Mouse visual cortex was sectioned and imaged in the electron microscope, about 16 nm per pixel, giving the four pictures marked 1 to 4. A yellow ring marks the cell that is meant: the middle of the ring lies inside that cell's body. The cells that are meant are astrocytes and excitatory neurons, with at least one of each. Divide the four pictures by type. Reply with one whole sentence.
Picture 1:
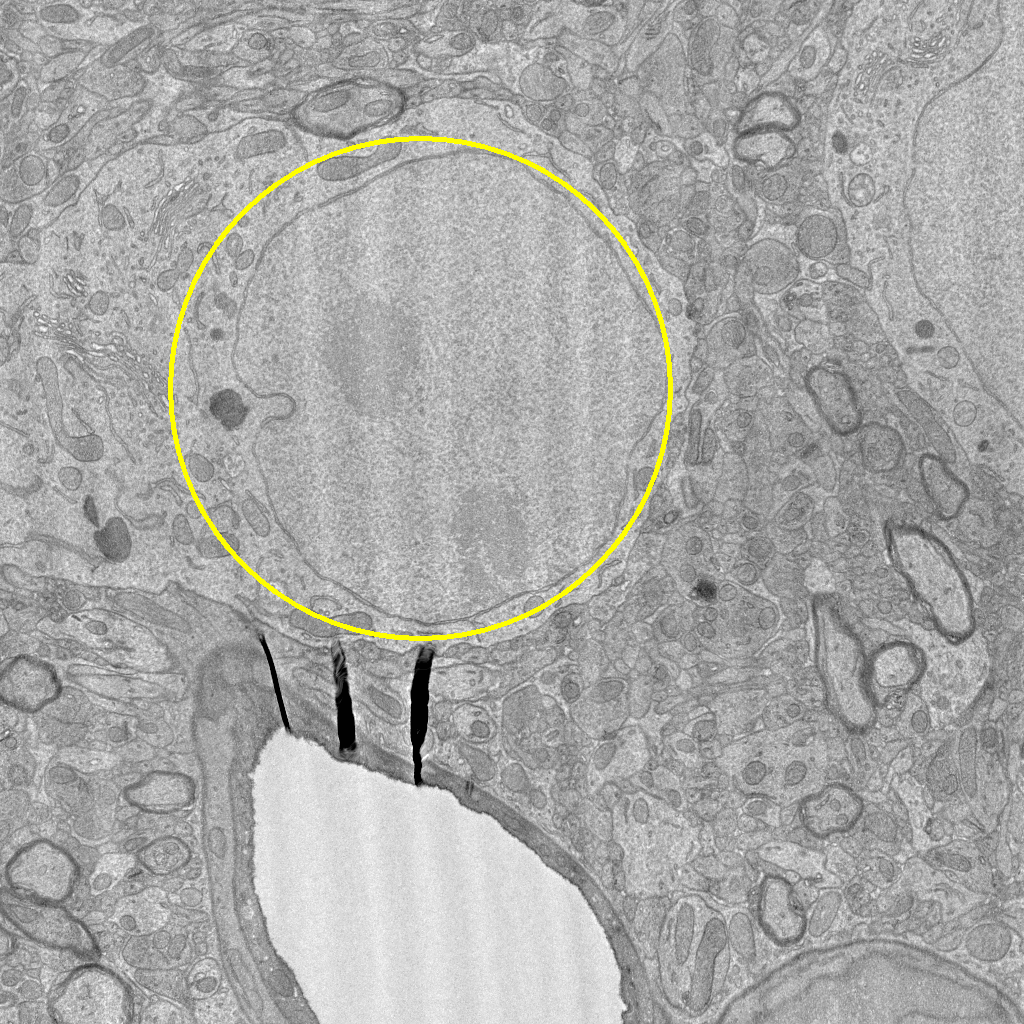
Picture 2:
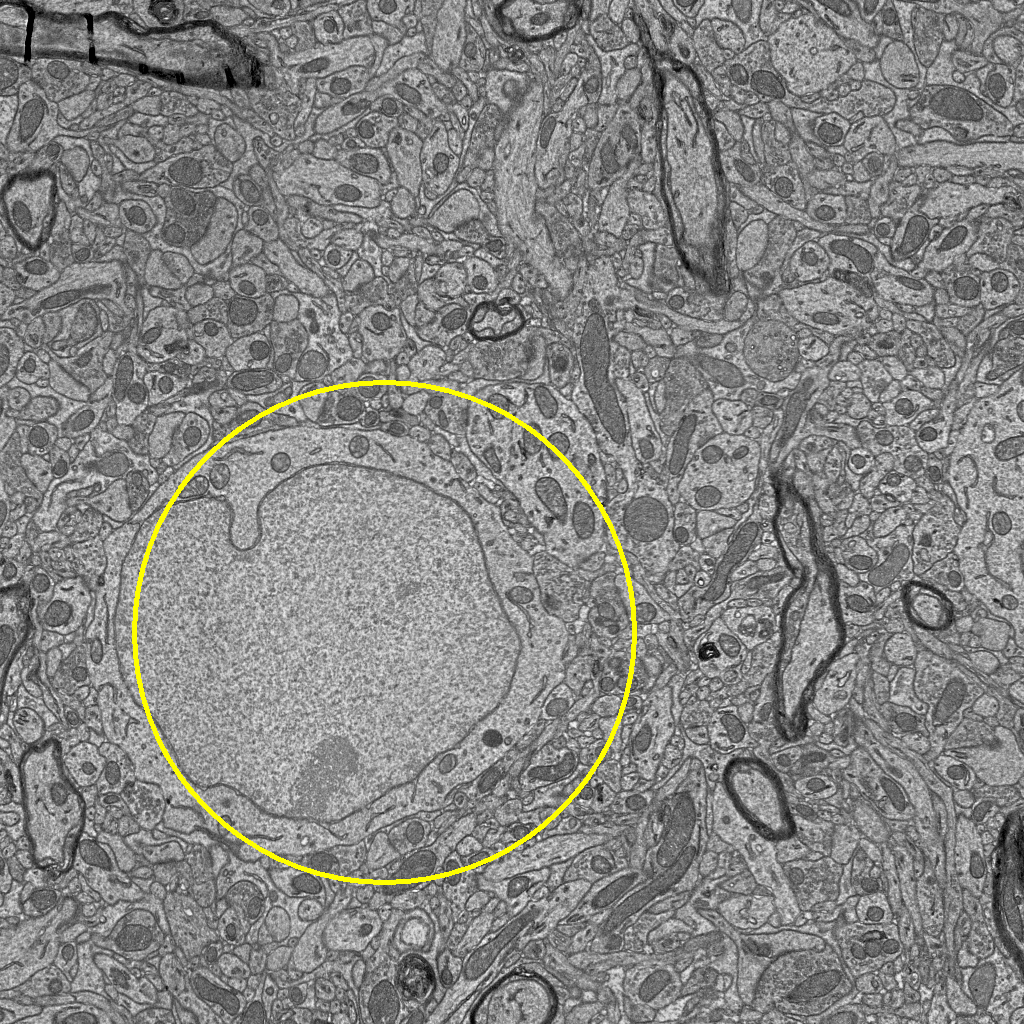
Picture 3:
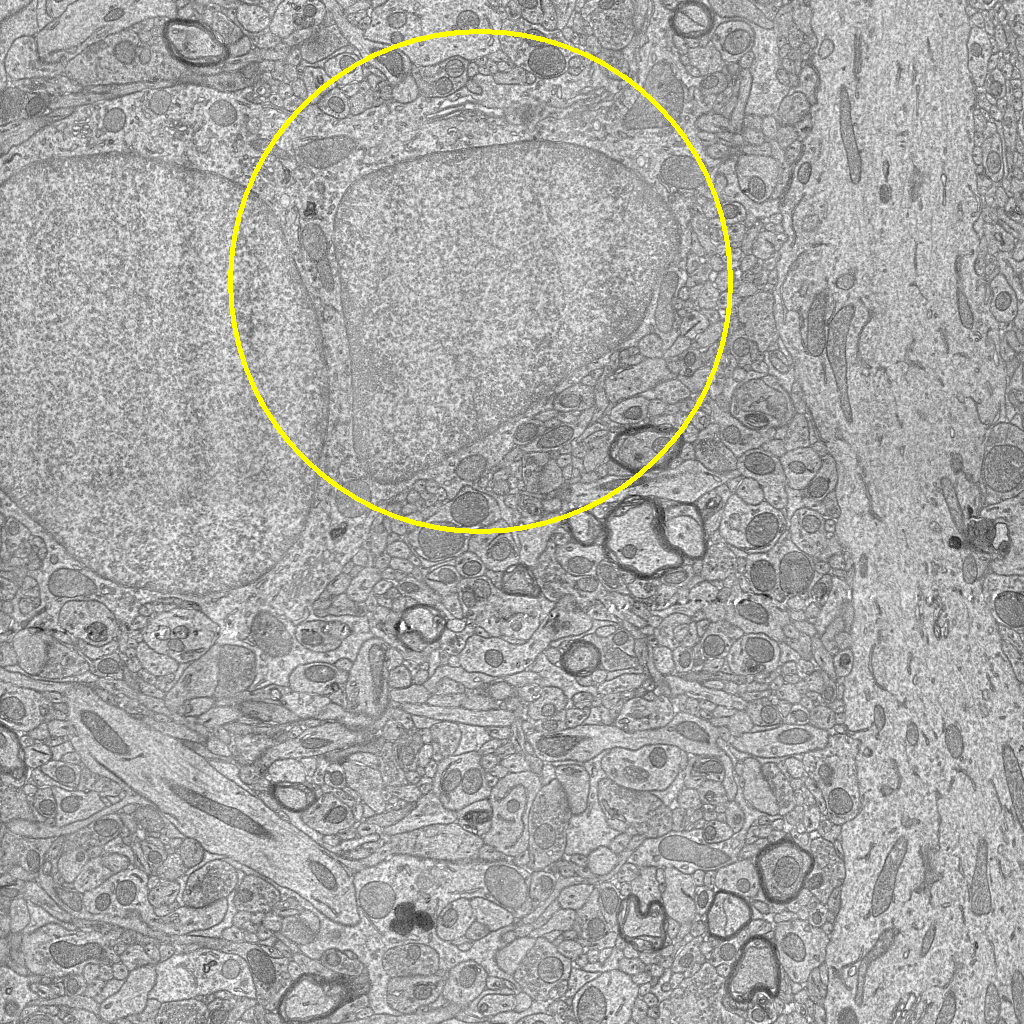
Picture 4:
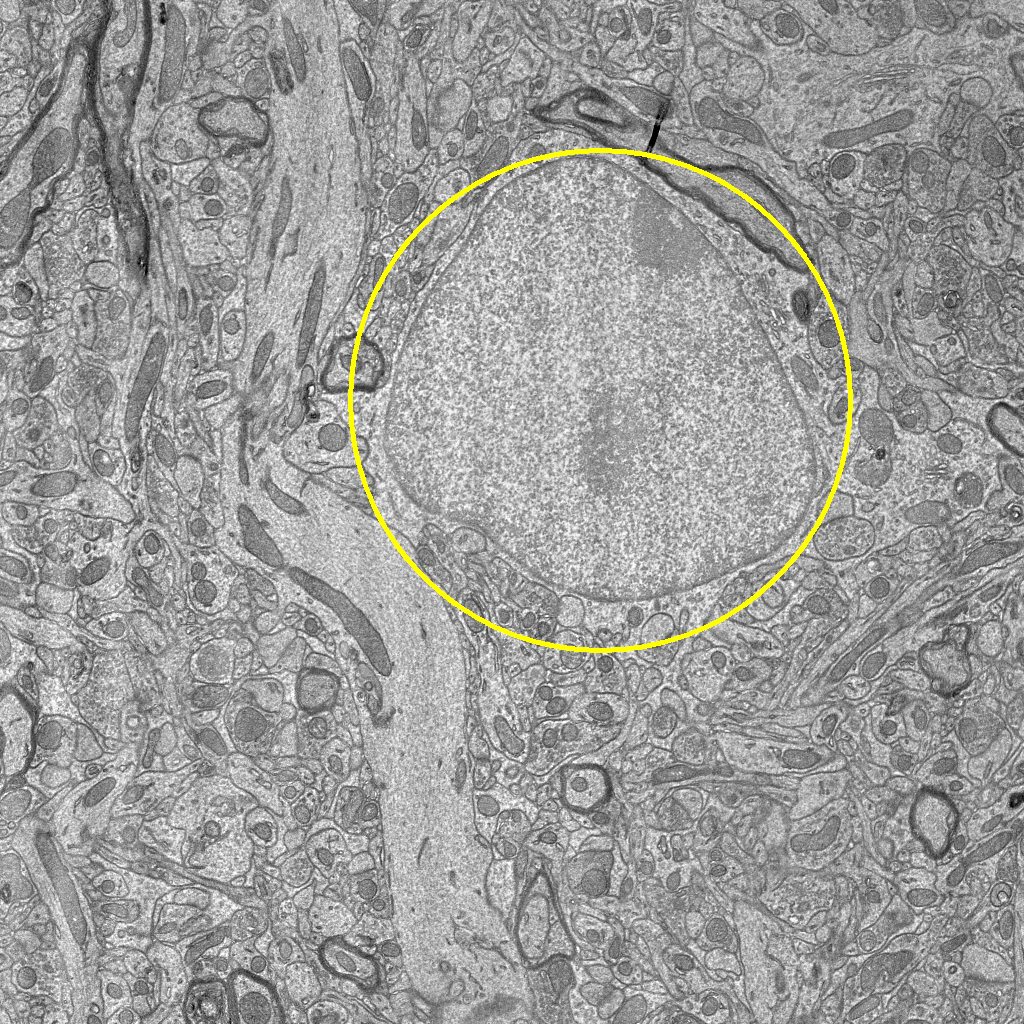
Pictures 3 and 4 show astrocytes; pictures 1 and 2 show excitatory neurons.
